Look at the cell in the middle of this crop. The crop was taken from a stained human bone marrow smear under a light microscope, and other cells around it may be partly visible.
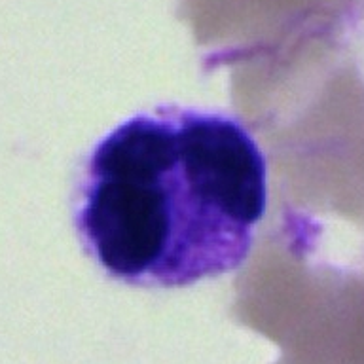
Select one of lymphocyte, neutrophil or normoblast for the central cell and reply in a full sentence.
The cell centred in this crop is categorized as a neutrophil.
